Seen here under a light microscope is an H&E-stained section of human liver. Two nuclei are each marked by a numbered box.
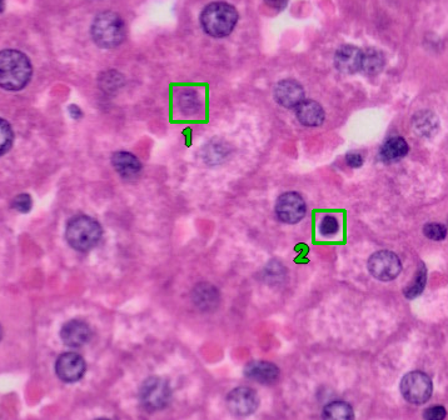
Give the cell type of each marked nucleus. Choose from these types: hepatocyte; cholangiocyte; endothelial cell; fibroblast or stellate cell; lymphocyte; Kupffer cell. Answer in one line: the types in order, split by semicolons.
hepatocyte; lymphocyte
